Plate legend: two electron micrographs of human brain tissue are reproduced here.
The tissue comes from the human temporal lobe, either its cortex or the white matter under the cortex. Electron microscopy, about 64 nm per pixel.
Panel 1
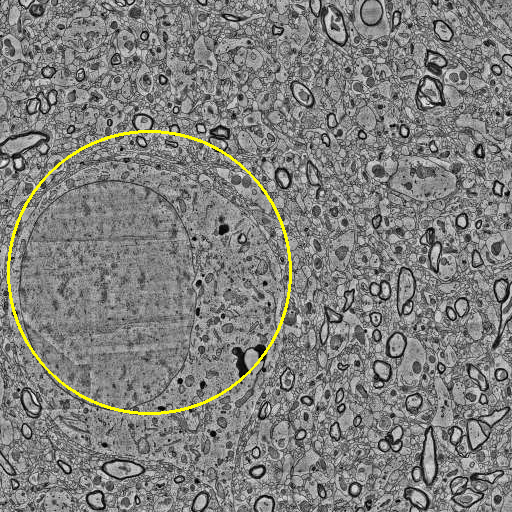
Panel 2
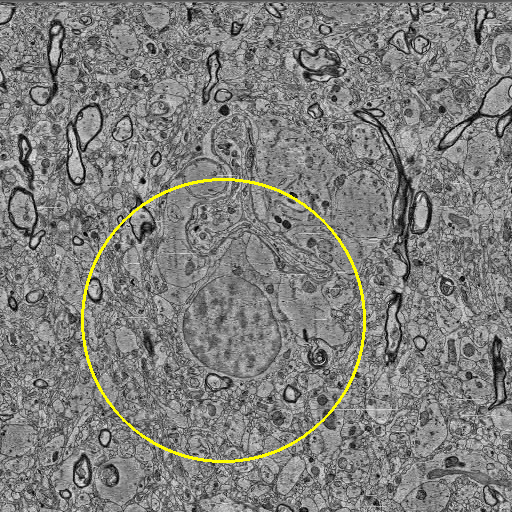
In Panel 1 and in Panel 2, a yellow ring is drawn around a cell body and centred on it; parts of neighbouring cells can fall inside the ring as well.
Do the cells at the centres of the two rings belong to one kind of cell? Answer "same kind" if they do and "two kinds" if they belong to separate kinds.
two kinds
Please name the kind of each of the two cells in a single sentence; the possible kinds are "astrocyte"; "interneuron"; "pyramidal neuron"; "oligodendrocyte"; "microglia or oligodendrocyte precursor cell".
In the first picture the ring is centred on a pyramidal neuron, and in the second on an oligodendrocyte.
